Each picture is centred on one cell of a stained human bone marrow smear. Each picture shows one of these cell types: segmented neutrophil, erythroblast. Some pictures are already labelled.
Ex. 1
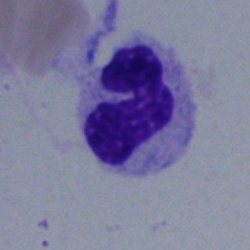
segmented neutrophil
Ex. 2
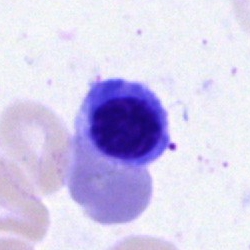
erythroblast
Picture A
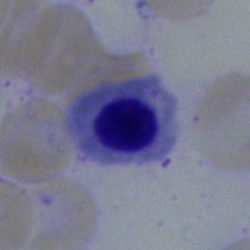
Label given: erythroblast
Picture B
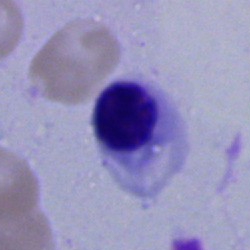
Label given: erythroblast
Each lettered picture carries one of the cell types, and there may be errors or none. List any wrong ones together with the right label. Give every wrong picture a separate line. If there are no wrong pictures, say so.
Nothing to fix; every label fits.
